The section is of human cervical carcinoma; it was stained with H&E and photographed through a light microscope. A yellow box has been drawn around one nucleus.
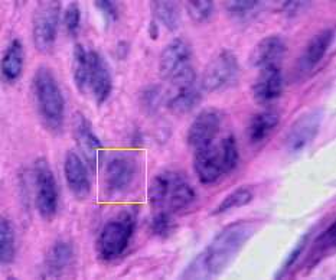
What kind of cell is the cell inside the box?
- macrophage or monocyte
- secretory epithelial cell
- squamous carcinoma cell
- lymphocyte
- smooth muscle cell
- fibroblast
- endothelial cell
squamous carcinoma cell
